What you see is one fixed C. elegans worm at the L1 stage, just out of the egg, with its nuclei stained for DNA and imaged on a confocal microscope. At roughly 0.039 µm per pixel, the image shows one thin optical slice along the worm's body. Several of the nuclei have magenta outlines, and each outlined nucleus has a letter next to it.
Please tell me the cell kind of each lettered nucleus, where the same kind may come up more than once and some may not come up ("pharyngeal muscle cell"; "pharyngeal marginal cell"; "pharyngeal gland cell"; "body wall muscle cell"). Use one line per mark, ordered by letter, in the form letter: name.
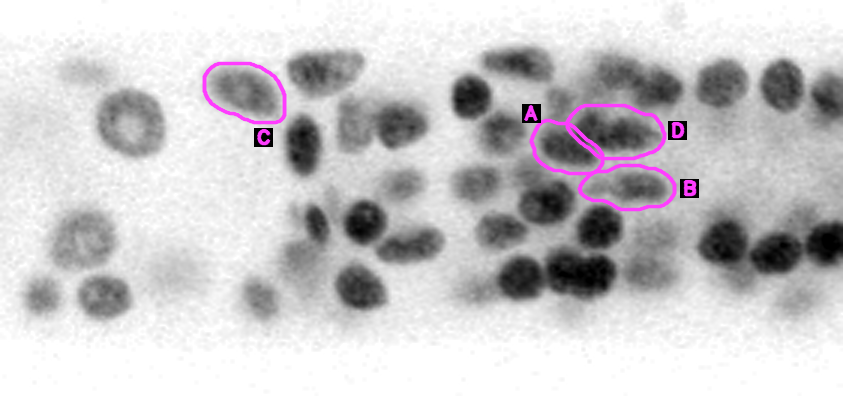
A: pharyngeal muscle cell
B: pharyngeal marginal cell
C: body wall muscle cell
D: pharyngeal marginal cell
